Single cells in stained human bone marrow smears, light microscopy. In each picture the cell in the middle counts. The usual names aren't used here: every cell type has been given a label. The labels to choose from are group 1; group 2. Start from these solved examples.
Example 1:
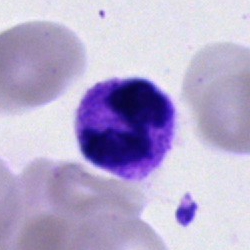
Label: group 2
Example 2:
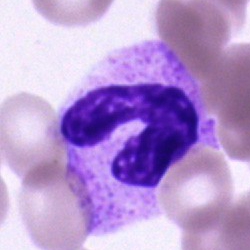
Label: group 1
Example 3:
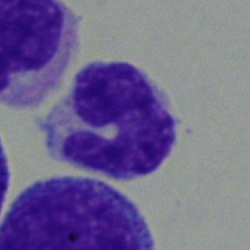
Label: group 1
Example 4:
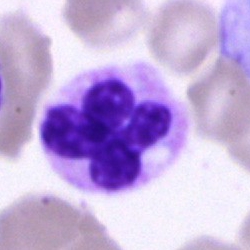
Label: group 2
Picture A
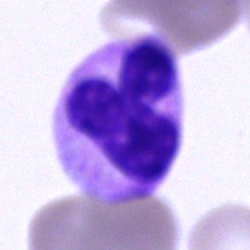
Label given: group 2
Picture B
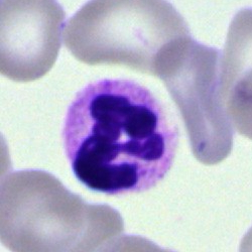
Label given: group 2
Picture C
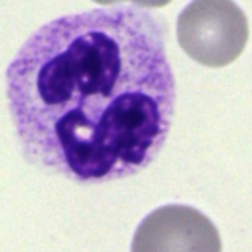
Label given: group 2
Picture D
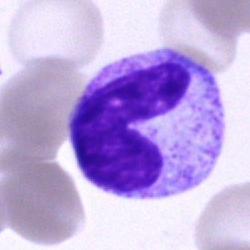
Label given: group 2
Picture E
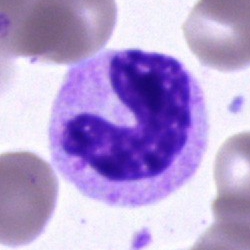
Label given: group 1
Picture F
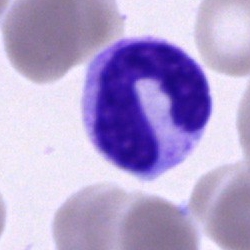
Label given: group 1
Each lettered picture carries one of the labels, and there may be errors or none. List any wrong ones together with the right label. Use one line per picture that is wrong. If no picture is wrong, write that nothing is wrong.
D is labelled group 2; correct label: group 1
